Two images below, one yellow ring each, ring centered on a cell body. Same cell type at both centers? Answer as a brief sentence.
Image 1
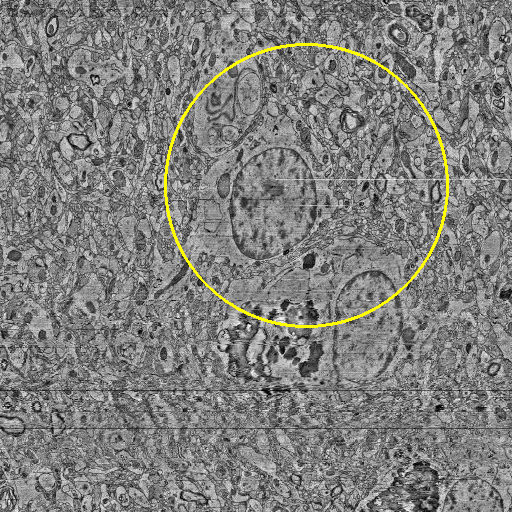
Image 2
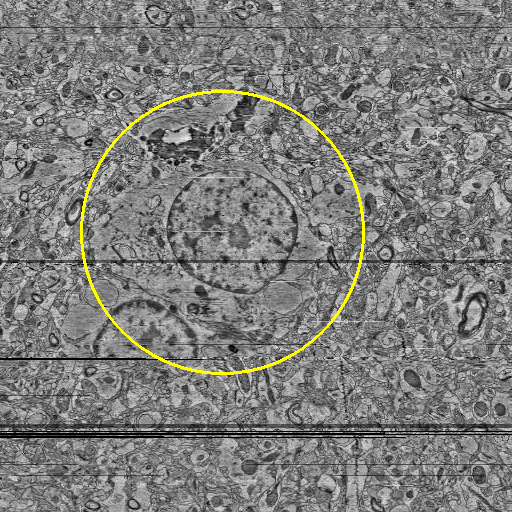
Yes, both cells are of the same type.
